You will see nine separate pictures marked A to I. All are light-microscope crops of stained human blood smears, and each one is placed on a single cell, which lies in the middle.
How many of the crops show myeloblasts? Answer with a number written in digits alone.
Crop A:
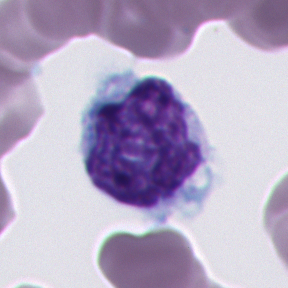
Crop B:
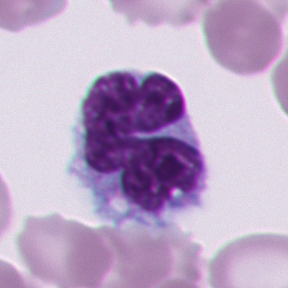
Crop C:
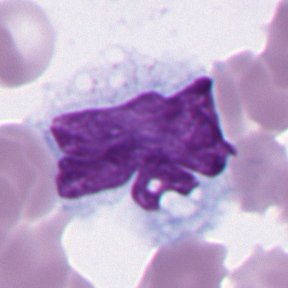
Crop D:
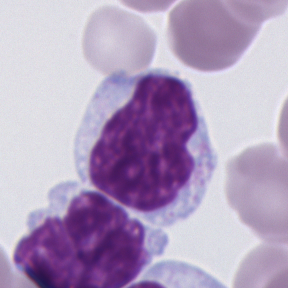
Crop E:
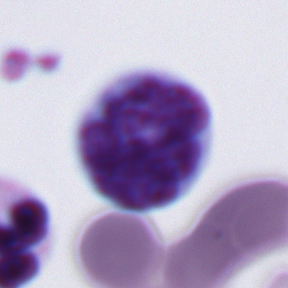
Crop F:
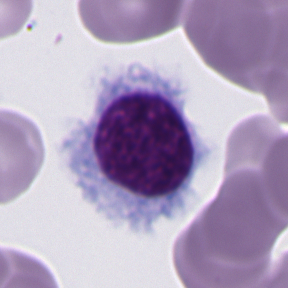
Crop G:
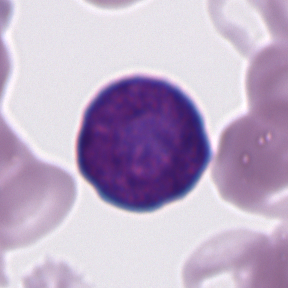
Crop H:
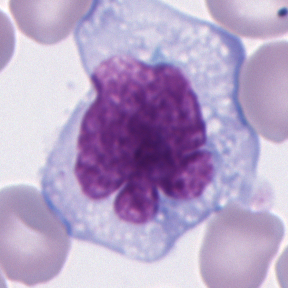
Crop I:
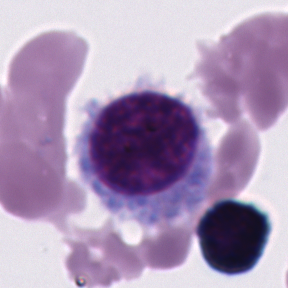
1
